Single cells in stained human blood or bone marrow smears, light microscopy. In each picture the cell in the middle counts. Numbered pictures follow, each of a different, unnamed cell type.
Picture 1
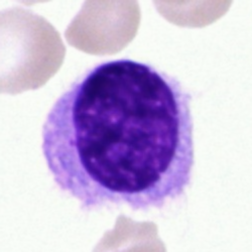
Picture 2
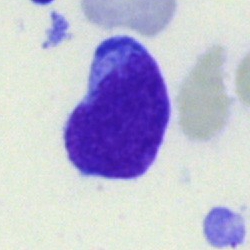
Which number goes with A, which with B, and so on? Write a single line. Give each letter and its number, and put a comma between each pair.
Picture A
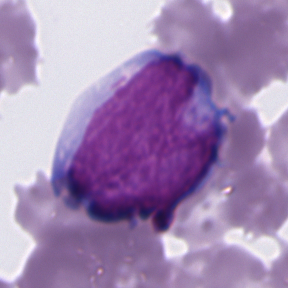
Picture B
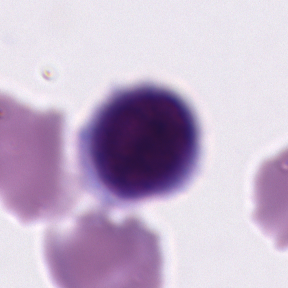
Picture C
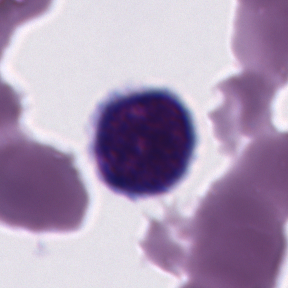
A 2, B 1, C 1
